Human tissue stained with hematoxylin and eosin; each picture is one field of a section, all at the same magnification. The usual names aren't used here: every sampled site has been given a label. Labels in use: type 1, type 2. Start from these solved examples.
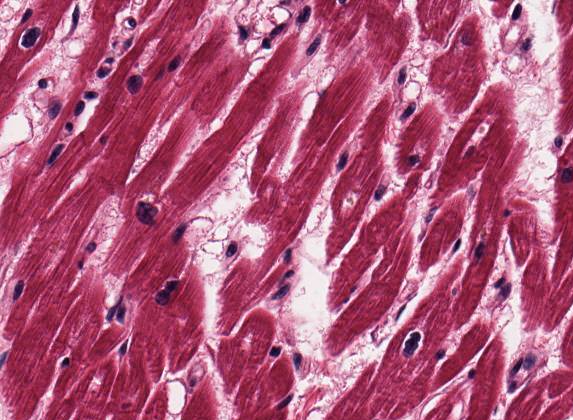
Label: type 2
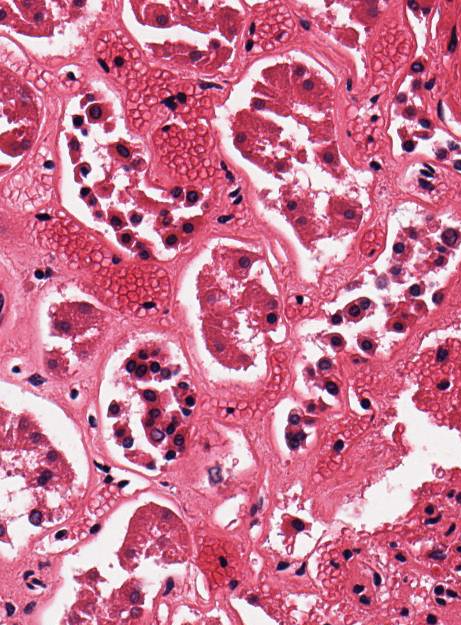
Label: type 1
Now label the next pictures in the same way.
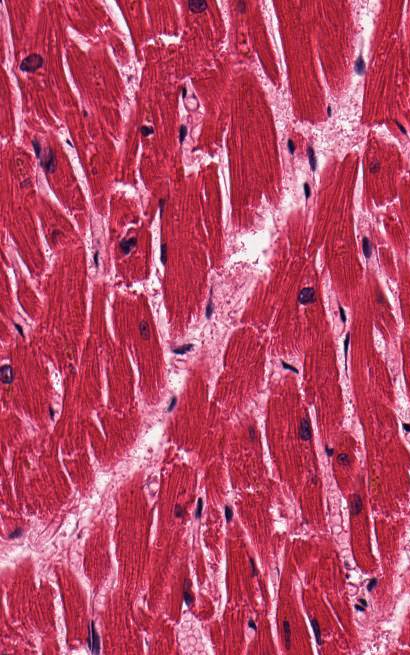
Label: type 2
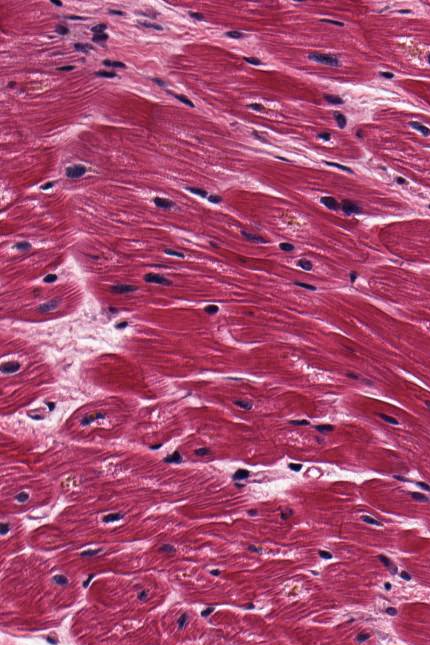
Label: type 2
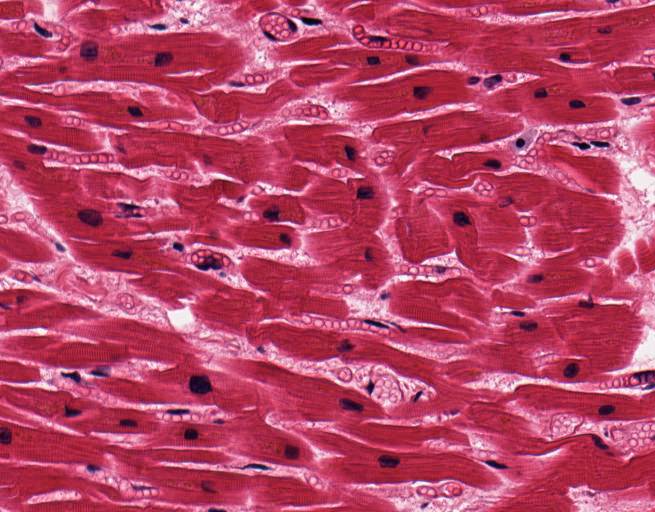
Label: type 2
